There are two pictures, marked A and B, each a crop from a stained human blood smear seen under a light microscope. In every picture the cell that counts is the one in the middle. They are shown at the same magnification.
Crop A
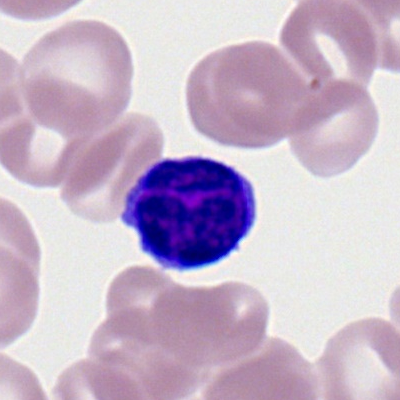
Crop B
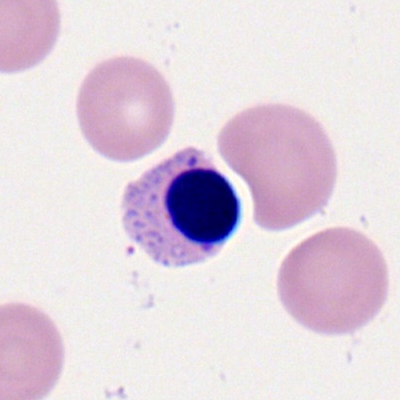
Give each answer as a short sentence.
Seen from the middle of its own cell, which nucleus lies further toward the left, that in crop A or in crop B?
It is the nucleus in crop A that lies further toward the left of its cell.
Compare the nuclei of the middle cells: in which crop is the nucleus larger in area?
The nucleus in crop A is larger, with about 2.5 times the area of the one in crop B.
